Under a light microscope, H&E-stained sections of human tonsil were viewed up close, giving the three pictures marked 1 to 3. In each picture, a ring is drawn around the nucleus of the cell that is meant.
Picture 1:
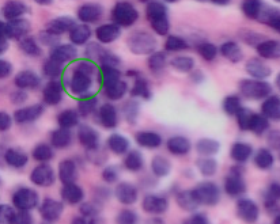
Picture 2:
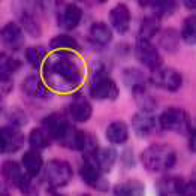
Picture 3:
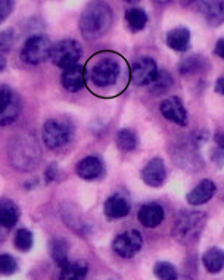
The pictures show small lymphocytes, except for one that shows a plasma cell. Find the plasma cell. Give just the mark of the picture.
3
